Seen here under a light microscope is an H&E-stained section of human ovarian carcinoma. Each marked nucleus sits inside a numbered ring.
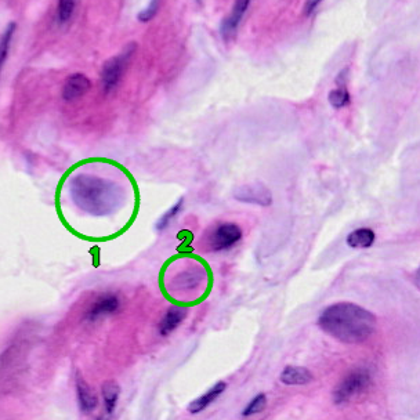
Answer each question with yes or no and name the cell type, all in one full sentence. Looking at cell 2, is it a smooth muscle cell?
Yes, the cell numbered 2 in this tissue is a smooth muscle cell.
